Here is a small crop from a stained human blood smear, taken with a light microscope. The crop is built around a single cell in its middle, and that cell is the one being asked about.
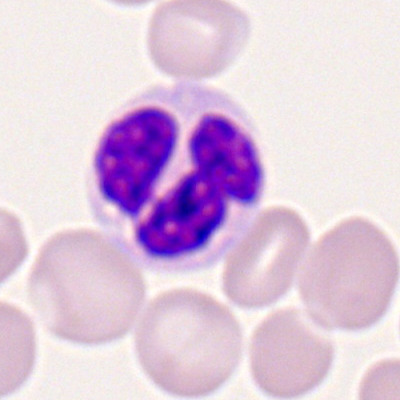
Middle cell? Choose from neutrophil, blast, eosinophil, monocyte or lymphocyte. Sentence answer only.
Where the crop is centred, there is a neutrophil.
